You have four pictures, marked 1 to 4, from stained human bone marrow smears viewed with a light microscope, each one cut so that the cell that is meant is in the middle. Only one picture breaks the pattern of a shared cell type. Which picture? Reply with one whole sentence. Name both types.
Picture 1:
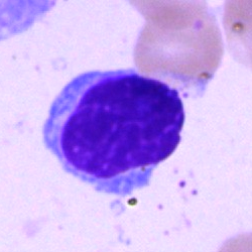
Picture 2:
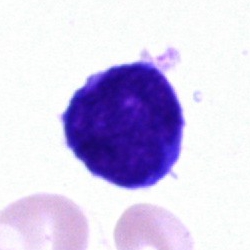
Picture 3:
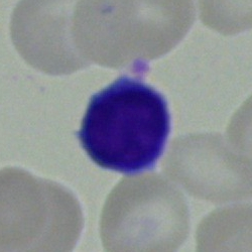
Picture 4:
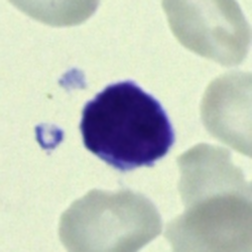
Picture 2 differs, because its cell is a blast and the rest are lymphocytes.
